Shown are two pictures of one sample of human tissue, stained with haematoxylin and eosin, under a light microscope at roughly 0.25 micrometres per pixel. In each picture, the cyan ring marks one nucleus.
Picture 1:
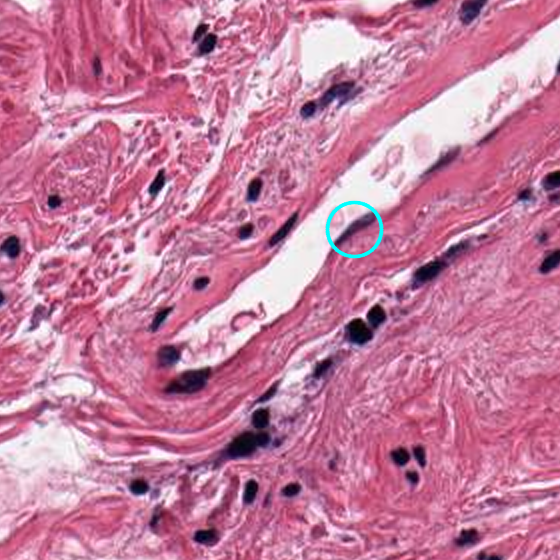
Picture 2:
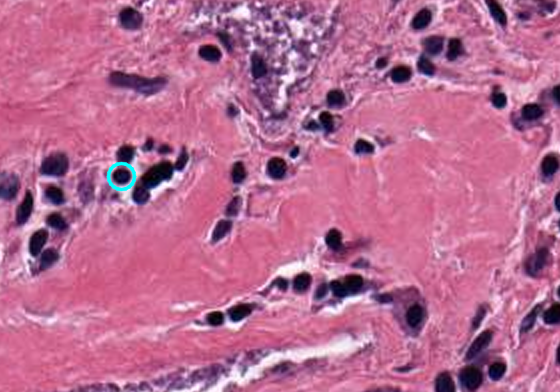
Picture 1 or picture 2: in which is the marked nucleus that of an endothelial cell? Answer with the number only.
1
